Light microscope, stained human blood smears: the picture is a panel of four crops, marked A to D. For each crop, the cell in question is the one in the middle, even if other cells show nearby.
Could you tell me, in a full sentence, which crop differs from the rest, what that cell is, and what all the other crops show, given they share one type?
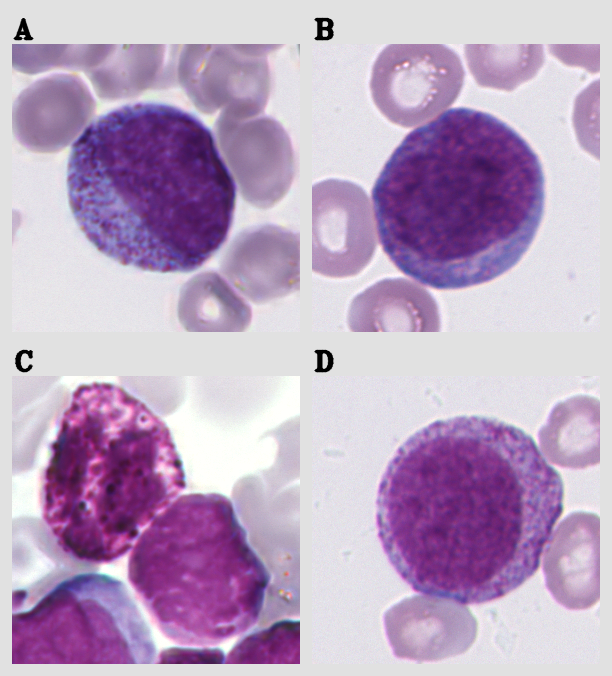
Crop C contains a basophil, setting it apart from the other crops, which all contain promyelocytes.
